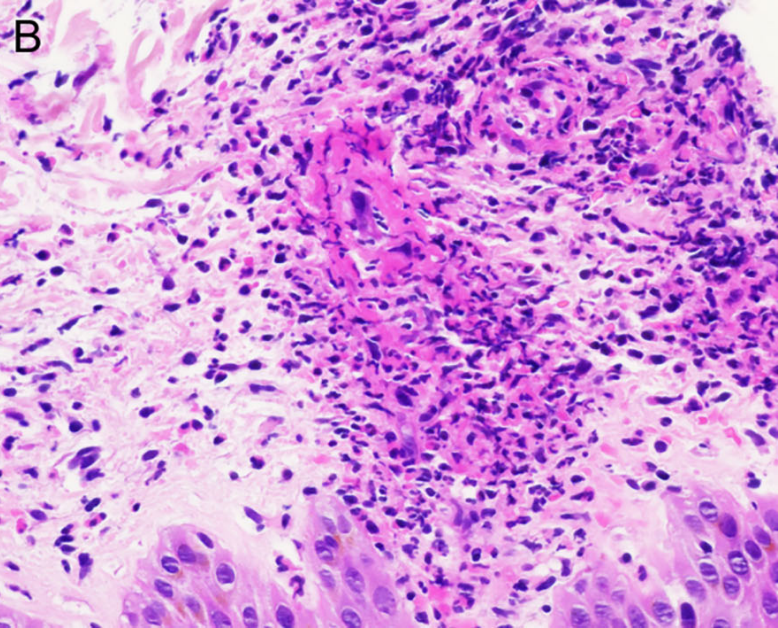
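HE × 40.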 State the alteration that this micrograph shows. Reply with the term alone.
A: Leukocytoclasis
